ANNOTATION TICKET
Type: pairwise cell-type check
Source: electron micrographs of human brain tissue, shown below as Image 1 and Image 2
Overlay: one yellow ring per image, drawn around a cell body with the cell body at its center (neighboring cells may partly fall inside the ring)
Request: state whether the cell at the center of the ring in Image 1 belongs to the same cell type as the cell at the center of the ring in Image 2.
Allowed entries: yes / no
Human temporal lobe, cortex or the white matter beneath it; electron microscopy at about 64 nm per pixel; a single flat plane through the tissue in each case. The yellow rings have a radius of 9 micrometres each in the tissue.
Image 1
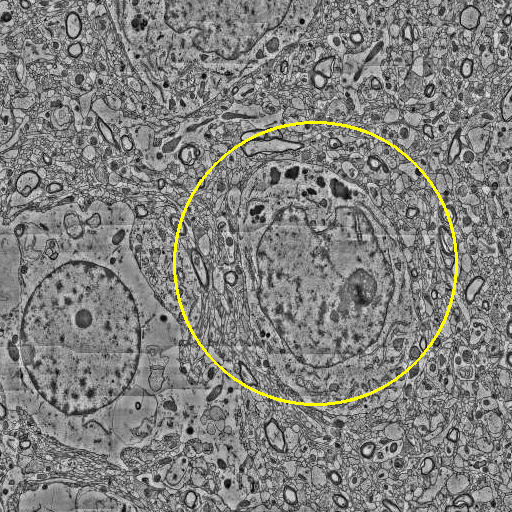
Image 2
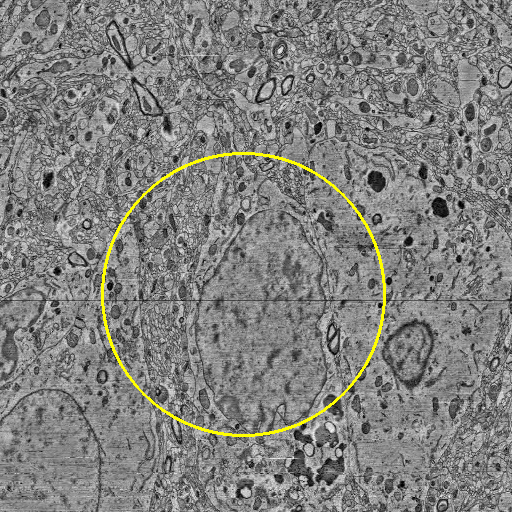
yes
